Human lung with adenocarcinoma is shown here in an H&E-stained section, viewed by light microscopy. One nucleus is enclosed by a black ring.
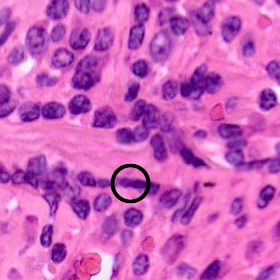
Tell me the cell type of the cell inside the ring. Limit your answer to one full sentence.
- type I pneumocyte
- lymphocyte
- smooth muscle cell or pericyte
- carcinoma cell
On this particular slide, the cell inside the ring is a lymphocyte.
